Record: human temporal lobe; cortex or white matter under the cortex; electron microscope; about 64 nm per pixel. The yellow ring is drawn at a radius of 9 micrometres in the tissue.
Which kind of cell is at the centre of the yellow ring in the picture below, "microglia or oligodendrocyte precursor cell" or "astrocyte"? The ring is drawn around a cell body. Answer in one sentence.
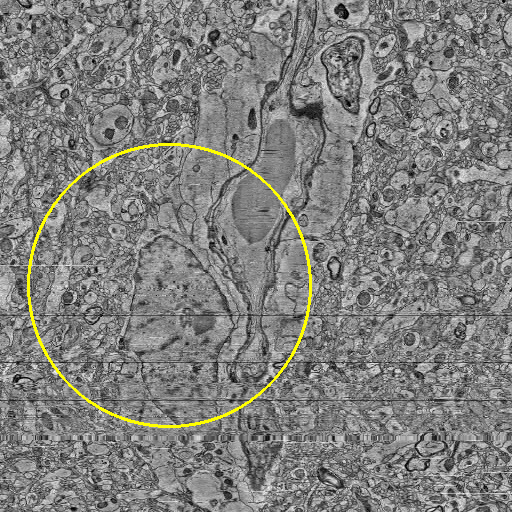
The ring's central cell is a microglial cell or oligodendrocyte precursor cell.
